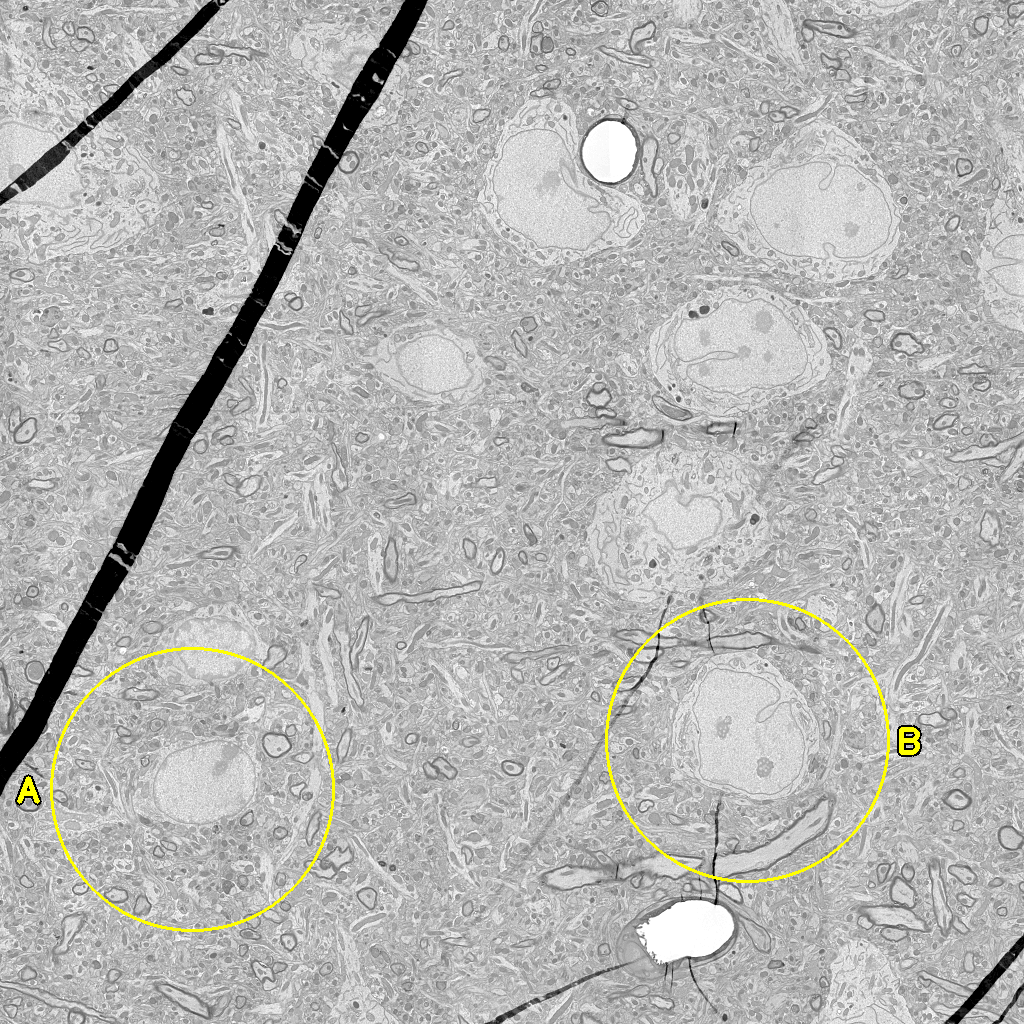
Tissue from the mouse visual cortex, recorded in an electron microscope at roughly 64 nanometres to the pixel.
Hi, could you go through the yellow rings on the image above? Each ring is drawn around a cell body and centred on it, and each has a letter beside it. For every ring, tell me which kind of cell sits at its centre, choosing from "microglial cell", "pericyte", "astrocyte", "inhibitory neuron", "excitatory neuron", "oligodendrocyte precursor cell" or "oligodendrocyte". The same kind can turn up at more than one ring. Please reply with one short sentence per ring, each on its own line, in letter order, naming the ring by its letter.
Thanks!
Ring A is centred on an astrocyte.
Ring B is centred on an excitatory neuron.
